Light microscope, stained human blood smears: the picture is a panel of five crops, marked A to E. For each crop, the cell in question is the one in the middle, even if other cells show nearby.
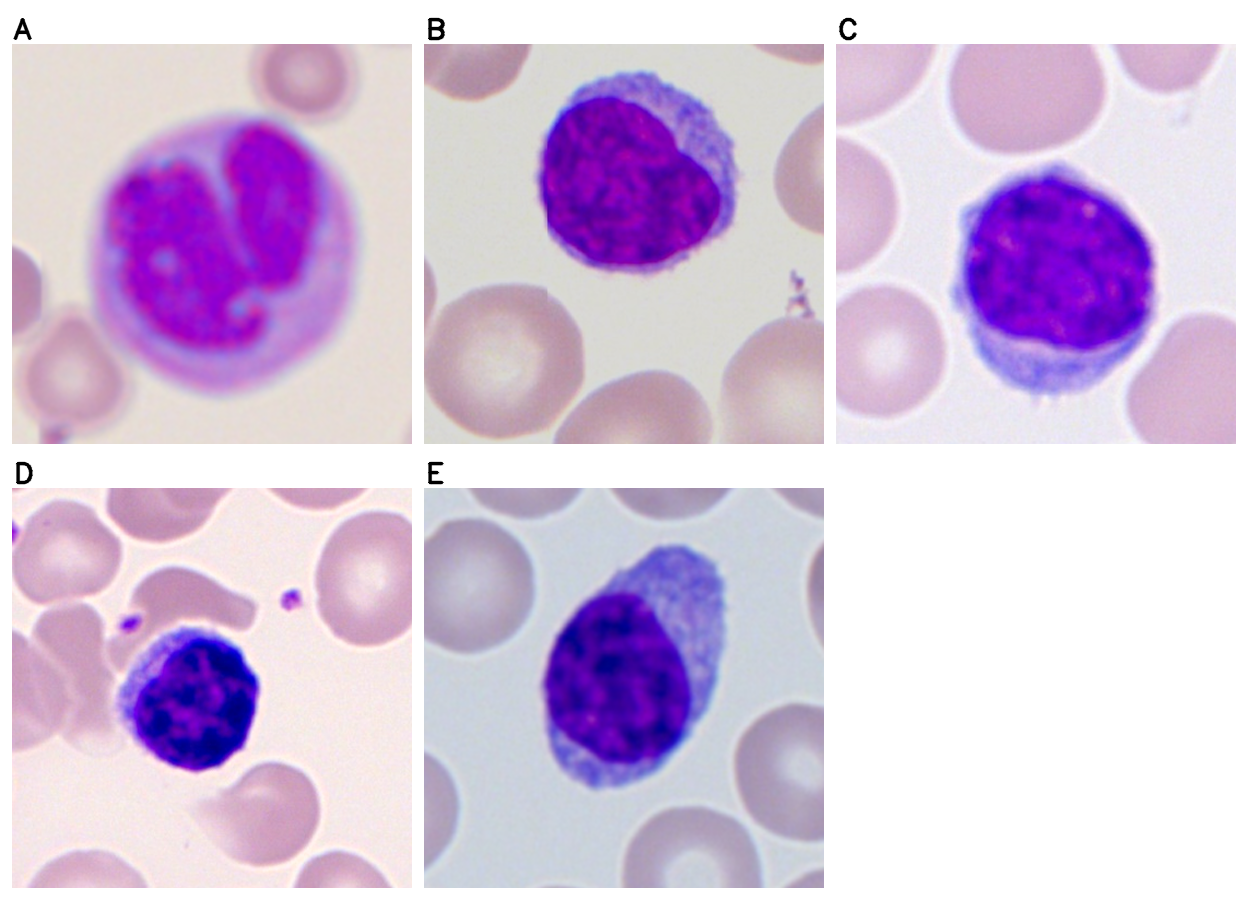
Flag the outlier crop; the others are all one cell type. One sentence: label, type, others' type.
While crop A shows a monocyte, the other crops all show lymphocytes.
